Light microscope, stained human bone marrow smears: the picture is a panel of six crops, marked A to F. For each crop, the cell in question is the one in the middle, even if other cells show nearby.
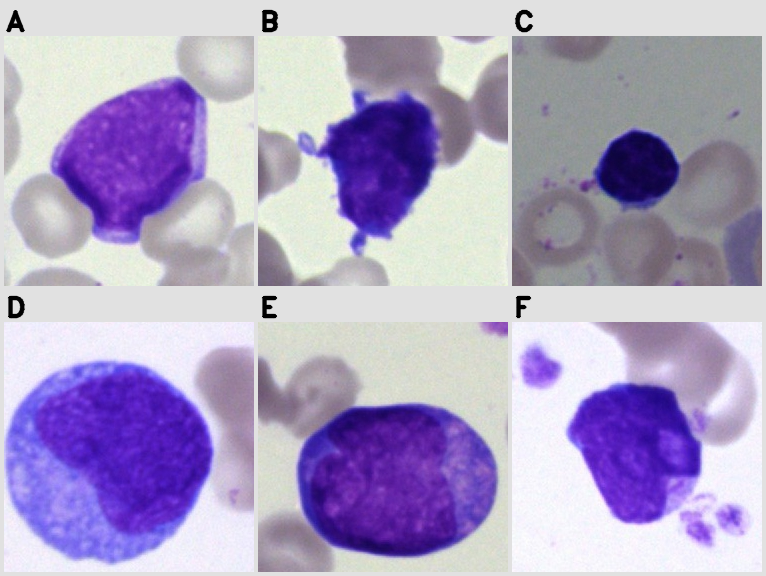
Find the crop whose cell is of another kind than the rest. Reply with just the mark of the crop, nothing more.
C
